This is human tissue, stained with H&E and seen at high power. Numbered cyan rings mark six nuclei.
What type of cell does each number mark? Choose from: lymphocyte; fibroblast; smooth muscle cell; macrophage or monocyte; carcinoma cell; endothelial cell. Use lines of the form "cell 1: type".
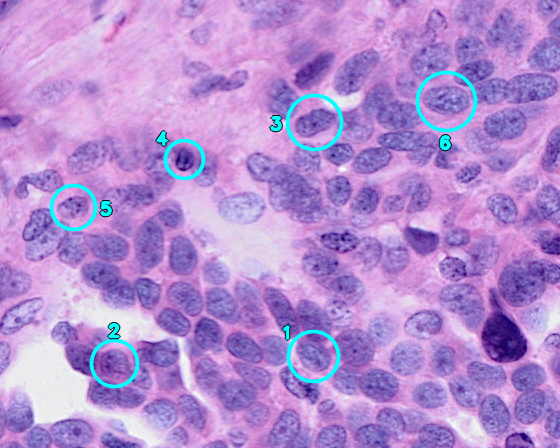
cell 1: carcinoma cell
cell 2: carcinoma cell
cell 3: carcinoma cell
cell 4: lymphocyte
cell 5: macrophage or monocyte
cell 6: carcinoma cell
